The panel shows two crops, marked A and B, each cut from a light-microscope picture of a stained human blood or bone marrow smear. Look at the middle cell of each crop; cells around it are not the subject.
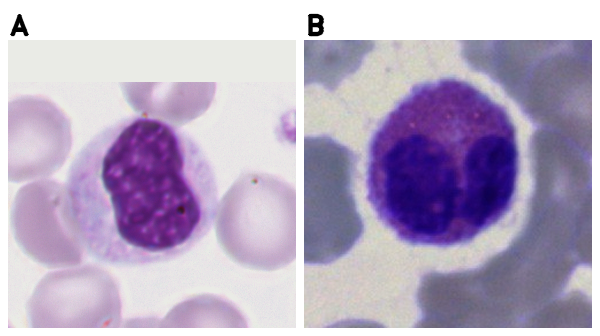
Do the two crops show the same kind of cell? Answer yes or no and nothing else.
no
